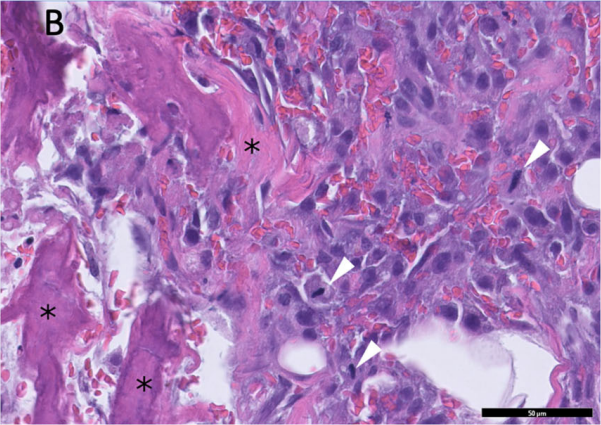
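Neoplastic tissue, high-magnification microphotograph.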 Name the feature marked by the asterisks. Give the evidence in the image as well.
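Osteoids. The asterisks lie on broad, homogeneous, glassy pink bands of matrix without cell detail. Tumor cells lie next to and around these pink bands.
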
